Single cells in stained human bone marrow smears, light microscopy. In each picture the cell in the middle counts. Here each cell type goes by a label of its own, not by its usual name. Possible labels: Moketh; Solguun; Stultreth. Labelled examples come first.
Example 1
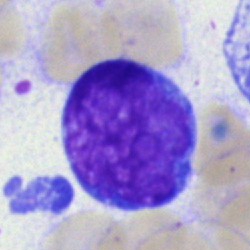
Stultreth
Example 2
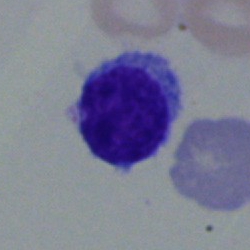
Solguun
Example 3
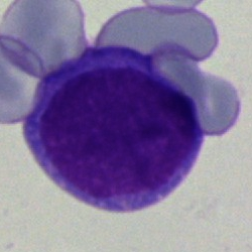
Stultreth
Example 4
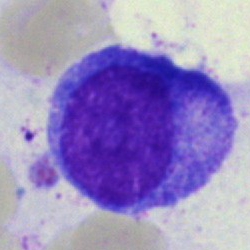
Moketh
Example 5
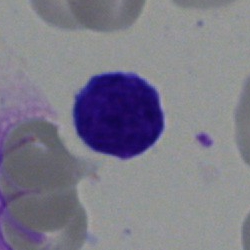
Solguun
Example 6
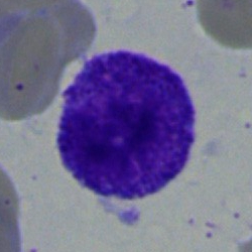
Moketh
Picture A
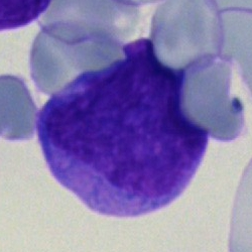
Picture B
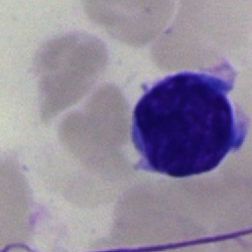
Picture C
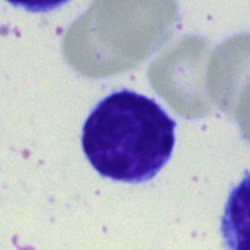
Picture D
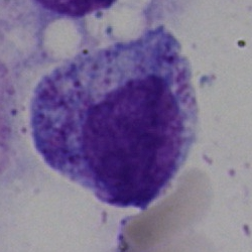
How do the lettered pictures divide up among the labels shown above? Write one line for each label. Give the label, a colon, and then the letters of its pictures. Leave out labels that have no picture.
Moketh: D
Solguun: B, C
Stultreth: A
